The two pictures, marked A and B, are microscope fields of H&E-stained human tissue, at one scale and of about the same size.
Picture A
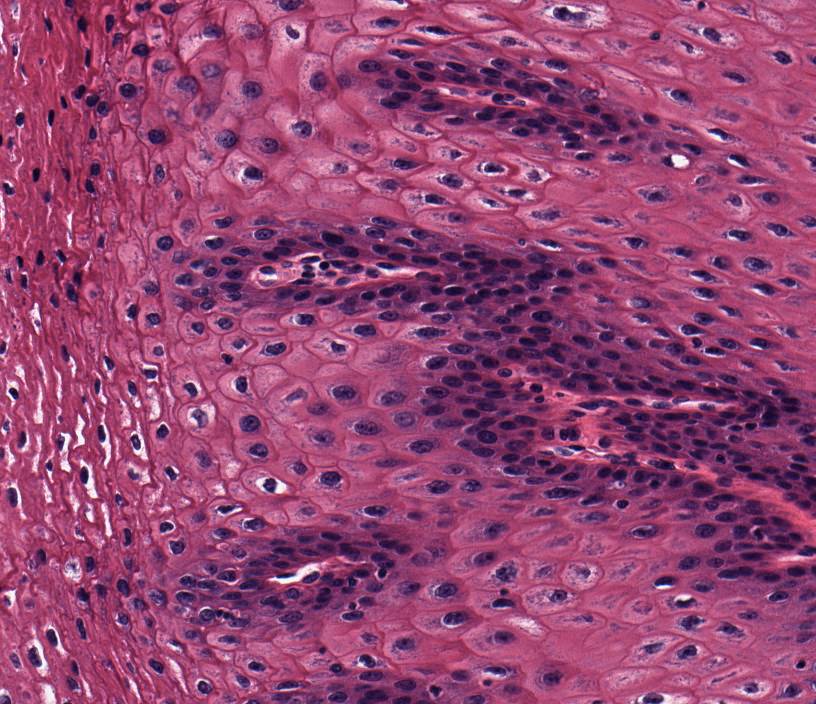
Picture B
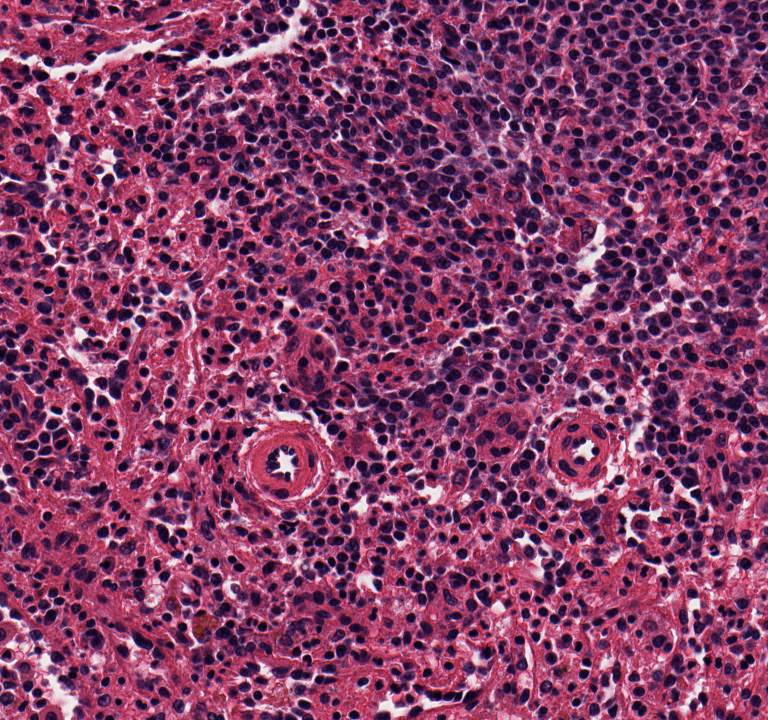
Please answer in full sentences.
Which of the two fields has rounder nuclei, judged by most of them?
On the whole the nuclei of picture B are rounder than those of picture A.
